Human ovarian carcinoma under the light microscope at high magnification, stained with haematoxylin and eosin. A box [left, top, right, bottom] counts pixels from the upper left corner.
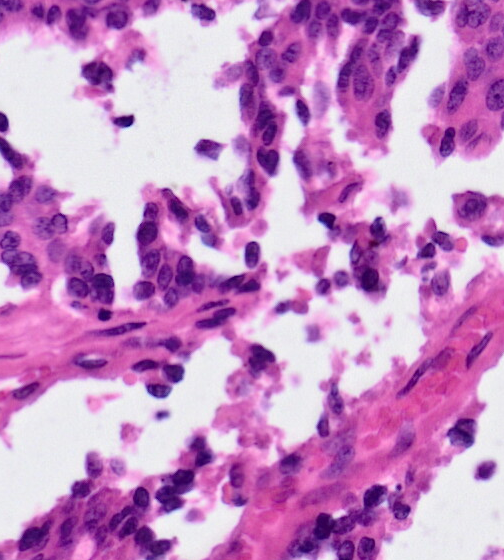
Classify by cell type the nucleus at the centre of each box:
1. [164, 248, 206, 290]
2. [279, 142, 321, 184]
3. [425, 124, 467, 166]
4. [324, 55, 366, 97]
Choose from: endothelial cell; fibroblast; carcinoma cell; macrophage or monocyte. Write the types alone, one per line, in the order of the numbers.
carcinoma cell
carcinoma cell
macrophage or monocyte
carcinoma cell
